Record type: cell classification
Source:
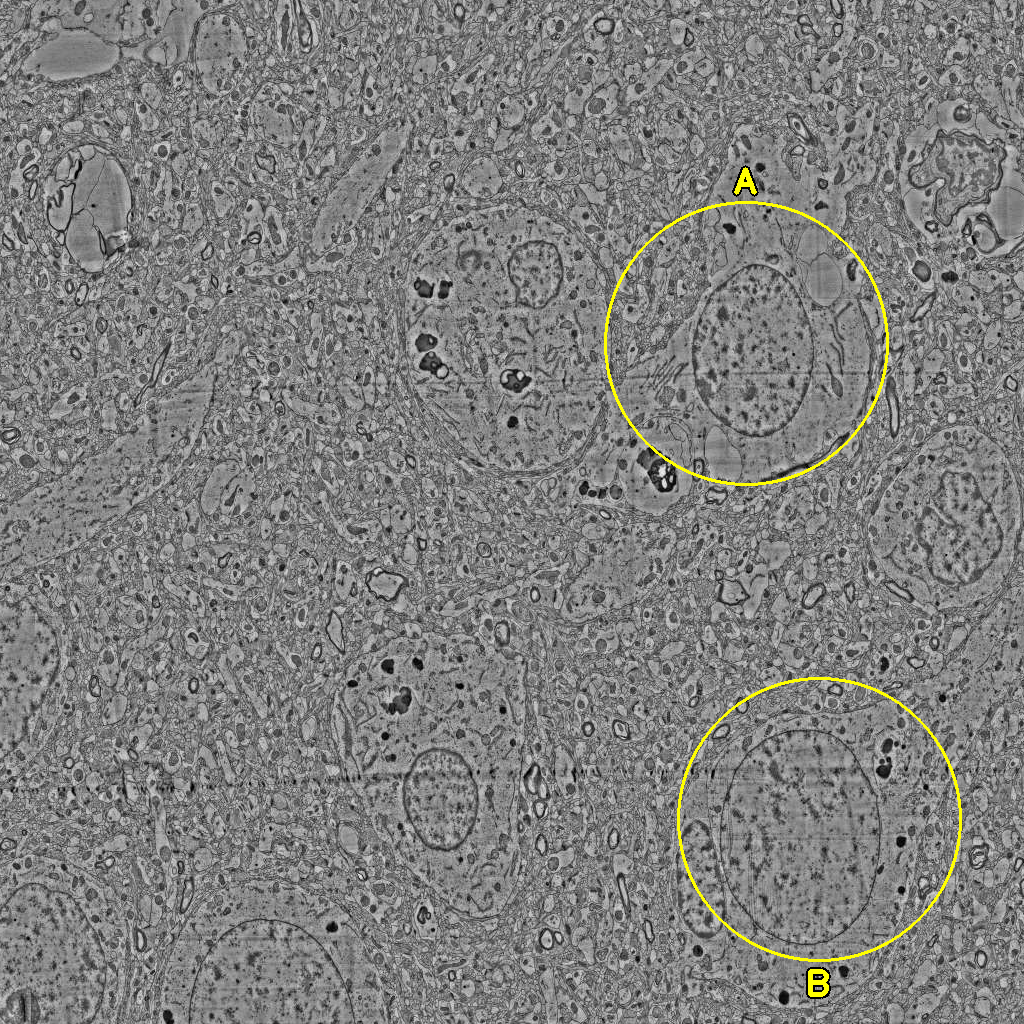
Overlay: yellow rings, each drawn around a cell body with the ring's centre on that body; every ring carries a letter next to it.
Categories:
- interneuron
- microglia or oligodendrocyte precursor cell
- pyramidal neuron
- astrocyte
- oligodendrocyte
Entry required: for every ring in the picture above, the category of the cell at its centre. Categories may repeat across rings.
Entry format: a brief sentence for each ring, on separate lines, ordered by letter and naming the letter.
At the centre of ring A lies an astrocyte.
At the centre of ring B lies a pyramidal neuron.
